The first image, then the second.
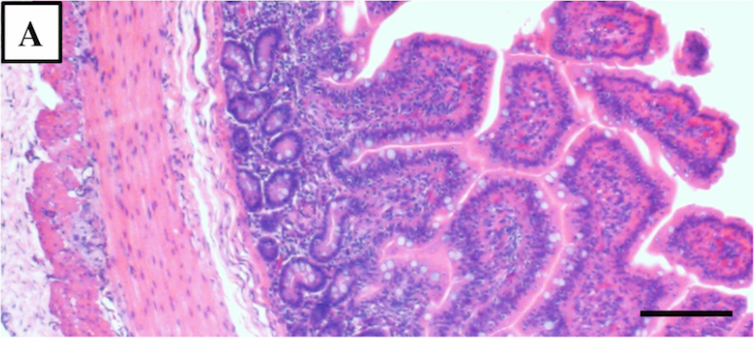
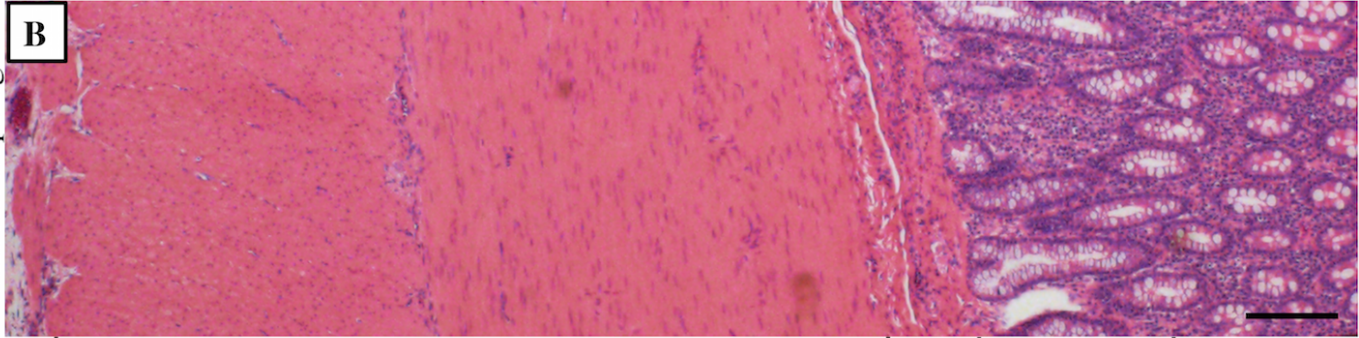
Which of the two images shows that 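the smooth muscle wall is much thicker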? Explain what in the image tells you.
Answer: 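Second image: the pink smooth muscle layers span most of the width of the section, far wider than the mucosa. First image: the muscle wall is a narrow pink band, thinner than the mucosa with its villi. On this evidence: the second image.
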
